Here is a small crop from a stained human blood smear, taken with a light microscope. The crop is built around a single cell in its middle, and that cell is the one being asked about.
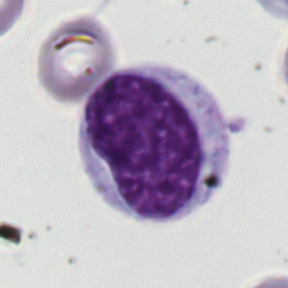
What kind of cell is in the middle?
metamyelocyte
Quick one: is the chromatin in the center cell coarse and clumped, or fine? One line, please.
The nuclear chromatin is fine, showing no coarse aggregates.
